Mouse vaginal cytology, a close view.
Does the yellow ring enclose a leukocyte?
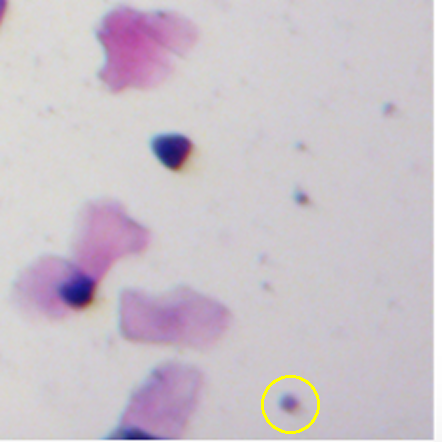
Yes. The ring encloses a leukocyte.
